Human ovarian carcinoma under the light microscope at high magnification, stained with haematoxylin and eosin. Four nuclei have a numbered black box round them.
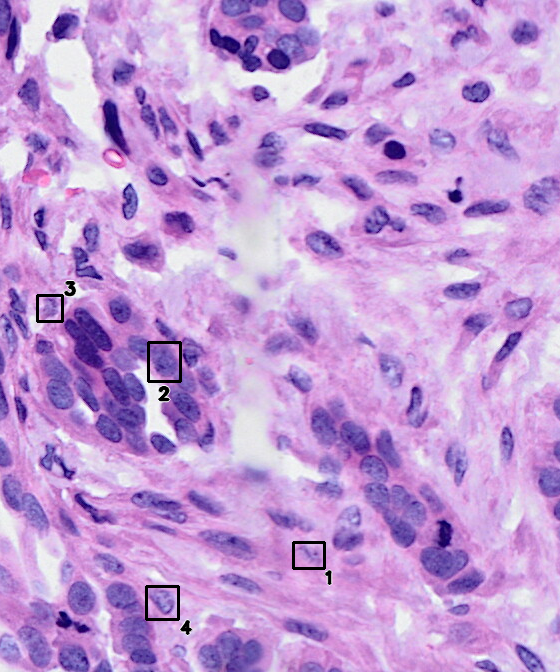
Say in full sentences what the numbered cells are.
Cell 1 is a fibroblast, cell 2 is a carcinoma cell, cell 3 is a fibroblast and cell 4 is a fibroblast.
